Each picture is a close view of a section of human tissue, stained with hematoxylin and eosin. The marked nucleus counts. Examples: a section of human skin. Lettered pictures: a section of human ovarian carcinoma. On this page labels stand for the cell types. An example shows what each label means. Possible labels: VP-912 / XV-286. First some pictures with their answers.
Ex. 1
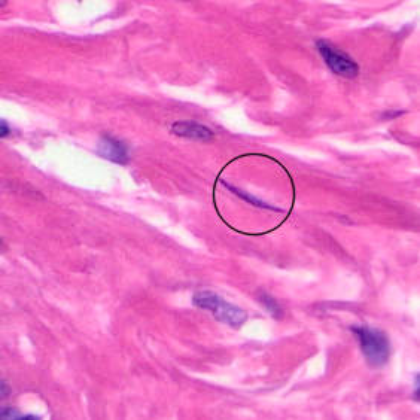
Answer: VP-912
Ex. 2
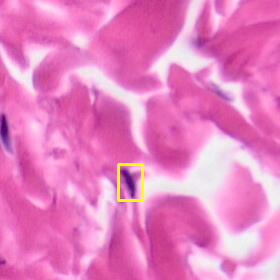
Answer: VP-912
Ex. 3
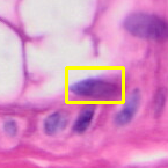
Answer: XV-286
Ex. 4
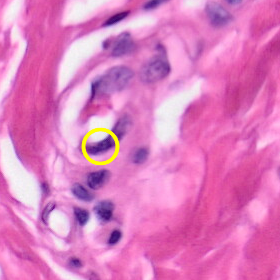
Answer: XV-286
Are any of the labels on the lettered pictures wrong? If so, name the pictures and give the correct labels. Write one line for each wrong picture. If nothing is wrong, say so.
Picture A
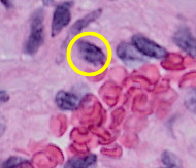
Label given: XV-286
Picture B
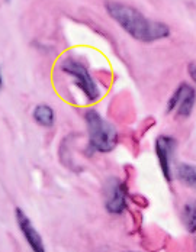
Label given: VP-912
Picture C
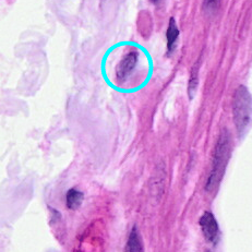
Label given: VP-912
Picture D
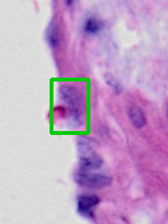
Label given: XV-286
Wrong: B (VP-912); correct: XV-286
